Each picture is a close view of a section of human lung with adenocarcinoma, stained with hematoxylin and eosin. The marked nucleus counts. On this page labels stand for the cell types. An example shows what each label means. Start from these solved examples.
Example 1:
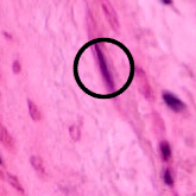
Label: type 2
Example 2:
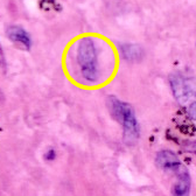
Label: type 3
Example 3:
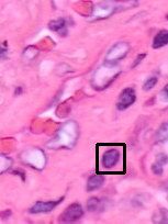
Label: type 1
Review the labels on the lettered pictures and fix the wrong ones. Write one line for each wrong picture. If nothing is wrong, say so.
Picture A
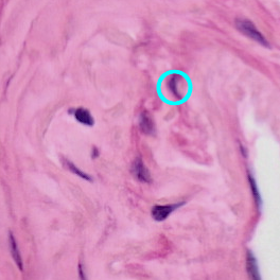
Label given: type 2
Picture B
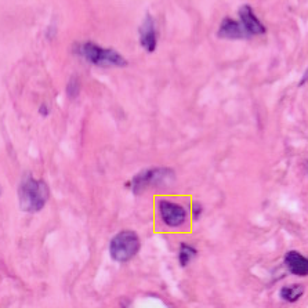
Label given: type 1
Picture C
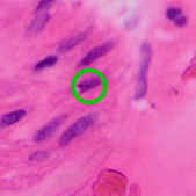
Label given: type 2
None of the labels needs changing.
